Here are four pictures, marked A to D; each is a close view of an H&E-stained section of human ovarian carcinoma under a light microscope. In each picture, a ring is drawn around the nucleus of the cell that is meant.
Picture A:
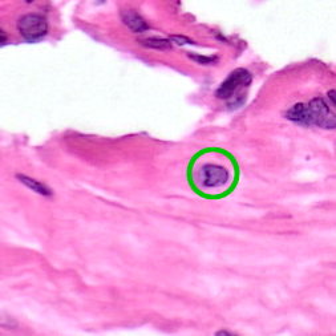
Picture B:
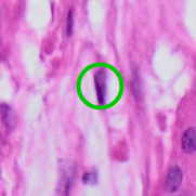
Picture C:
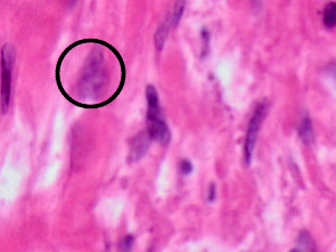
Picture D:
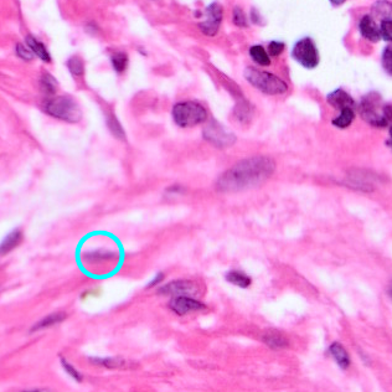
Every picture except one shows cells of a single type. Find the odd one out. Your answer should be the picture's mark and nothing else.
A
